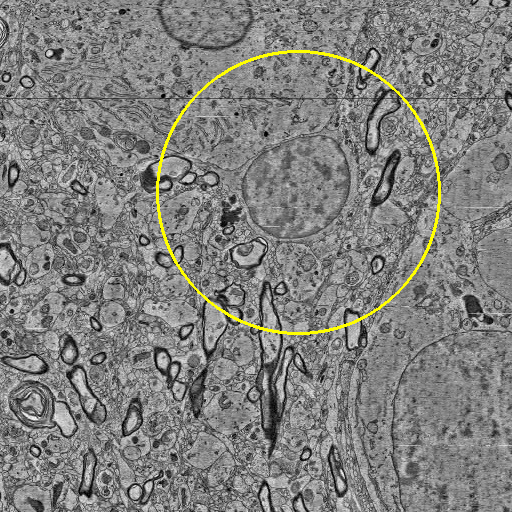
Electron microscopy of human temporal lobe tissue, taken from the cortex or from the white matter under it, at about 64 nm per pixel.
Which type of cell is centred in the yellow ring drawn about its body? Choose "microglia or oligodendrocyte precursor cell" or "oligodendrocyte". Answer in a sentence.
The yellow ring surrounds the cell body of an oligodendrocyte.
